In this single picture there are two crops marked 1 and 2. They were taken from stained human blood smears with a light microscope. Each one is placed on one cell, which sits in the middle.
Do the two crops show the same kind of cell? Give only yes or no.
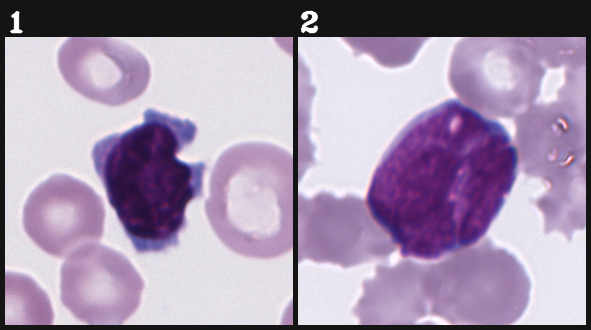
no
